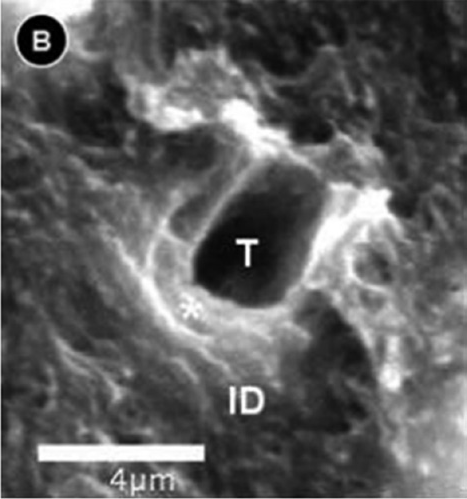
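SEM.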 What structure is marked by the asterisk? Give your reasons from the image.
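The asterisk sits on a bright, smooth rim that encircles the dark opening. The rim is distinct from the rougher matrix farther out.
Answer: peritubular dentin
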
